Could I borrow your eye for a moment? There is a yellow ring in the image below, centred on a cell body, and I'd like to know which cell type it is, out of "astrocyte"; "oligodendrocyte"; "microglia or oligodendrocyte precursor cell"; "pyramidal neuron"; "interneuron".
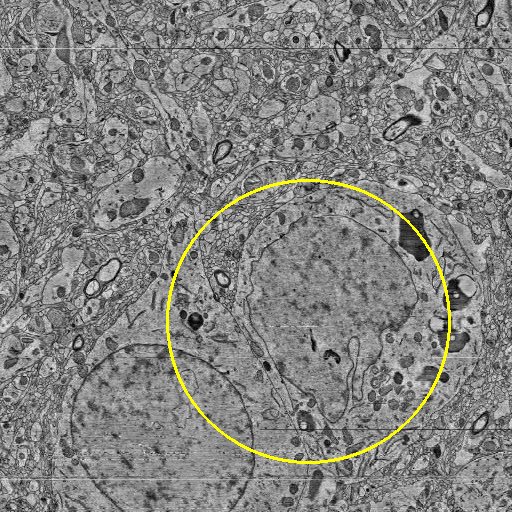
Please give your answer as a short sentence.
The cell body at the centre is that of an interneuron.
